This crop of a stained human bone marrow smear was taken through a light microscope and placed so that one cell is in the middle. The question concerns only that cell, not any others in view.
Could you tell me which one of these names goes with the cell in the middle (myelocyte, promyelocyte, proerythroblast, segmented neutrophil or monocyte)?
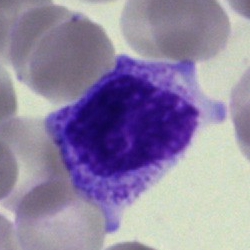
myelocyte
